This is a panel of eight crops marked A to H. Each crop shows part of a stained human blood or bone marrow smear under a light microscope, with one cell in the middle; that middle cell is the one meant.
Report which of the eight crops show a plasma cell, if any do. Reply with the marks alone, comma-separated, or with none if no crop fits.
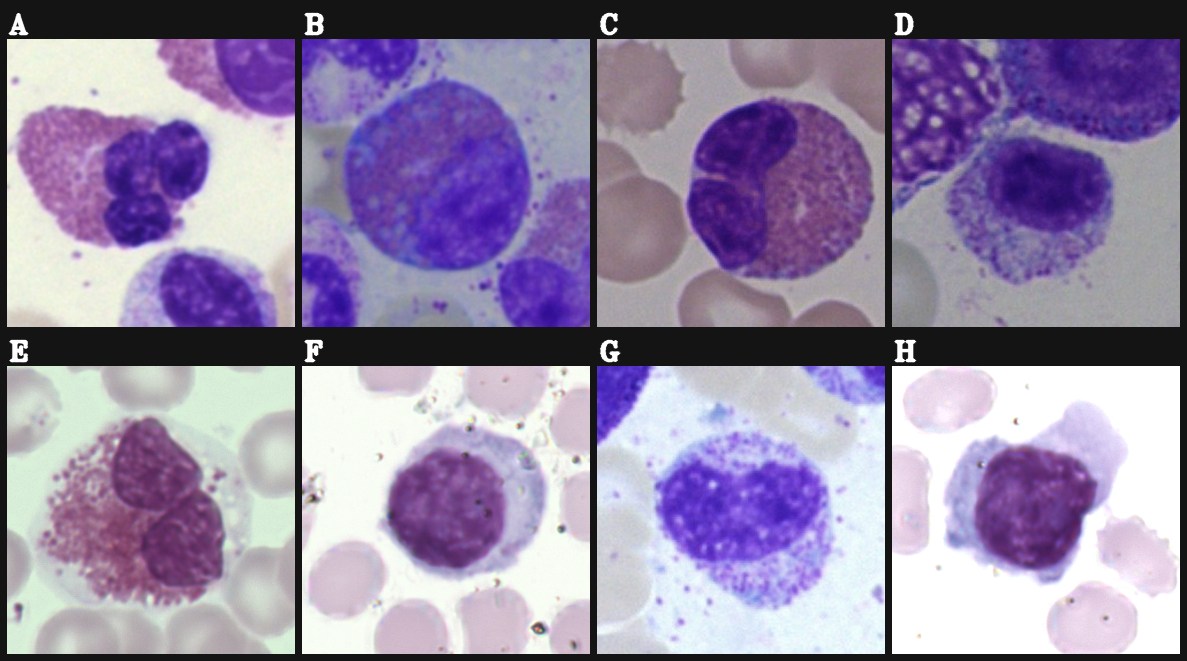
F, H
